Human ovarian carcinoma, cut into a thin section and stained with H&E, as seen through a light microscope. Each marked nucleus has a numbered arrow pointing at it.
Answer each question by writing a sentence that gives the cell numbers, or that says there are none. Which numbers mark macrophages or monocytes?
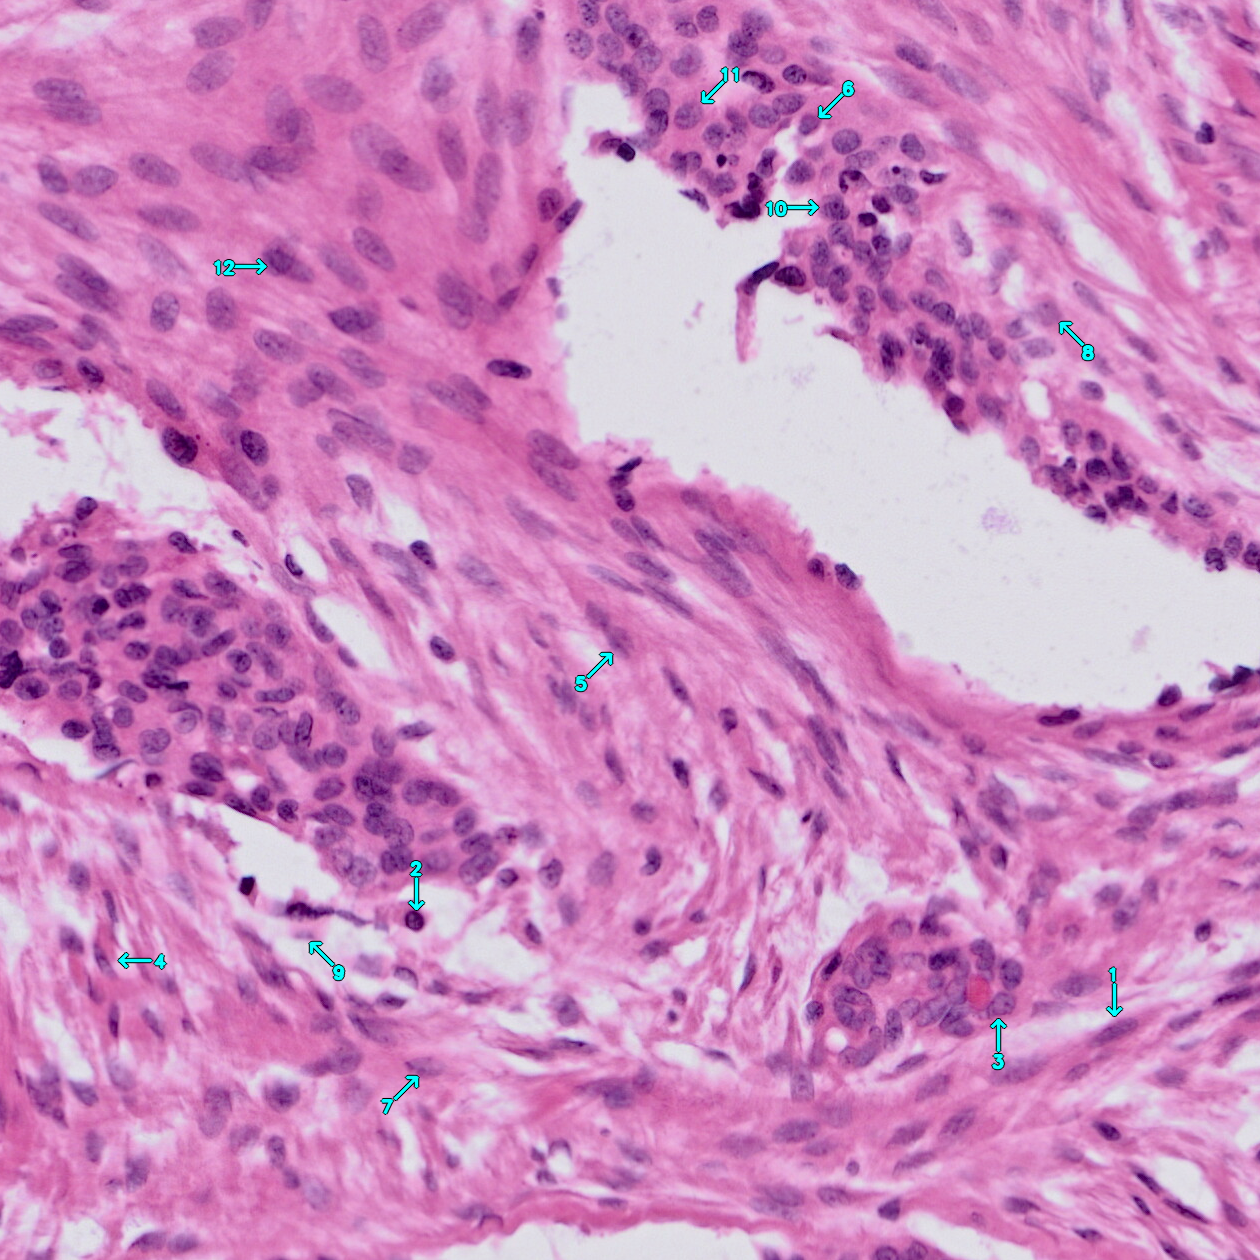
Only the cell at mark 2 is a macrophage or monocyte, and no other marked cell is.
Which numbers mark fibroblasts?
Within the section, cells numbered 1, 4, 5, 7, 8, 9 and 12 are fibroblasts.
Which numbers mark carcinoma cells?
Cells 6, 10 and 11 share one type; they are carcinoma cells.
